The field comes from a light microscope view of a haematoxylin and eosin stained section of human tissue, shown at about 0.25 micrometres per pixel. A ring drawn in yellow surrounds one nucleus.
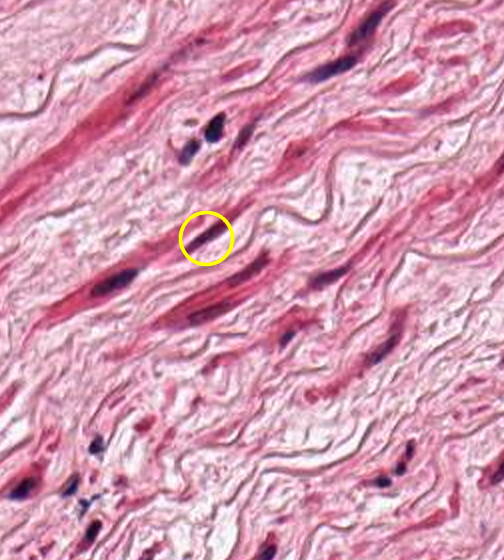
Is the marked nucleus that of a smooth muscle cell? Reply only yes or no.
yes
